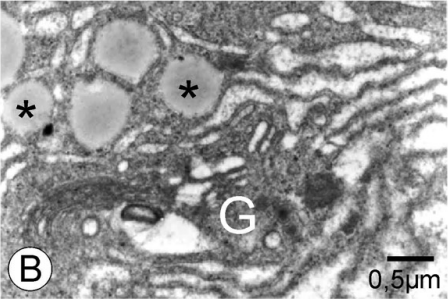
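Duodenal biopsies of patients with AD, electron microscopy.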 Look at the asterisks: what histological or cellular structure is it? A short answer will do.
Lipoprotein-sized particles.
